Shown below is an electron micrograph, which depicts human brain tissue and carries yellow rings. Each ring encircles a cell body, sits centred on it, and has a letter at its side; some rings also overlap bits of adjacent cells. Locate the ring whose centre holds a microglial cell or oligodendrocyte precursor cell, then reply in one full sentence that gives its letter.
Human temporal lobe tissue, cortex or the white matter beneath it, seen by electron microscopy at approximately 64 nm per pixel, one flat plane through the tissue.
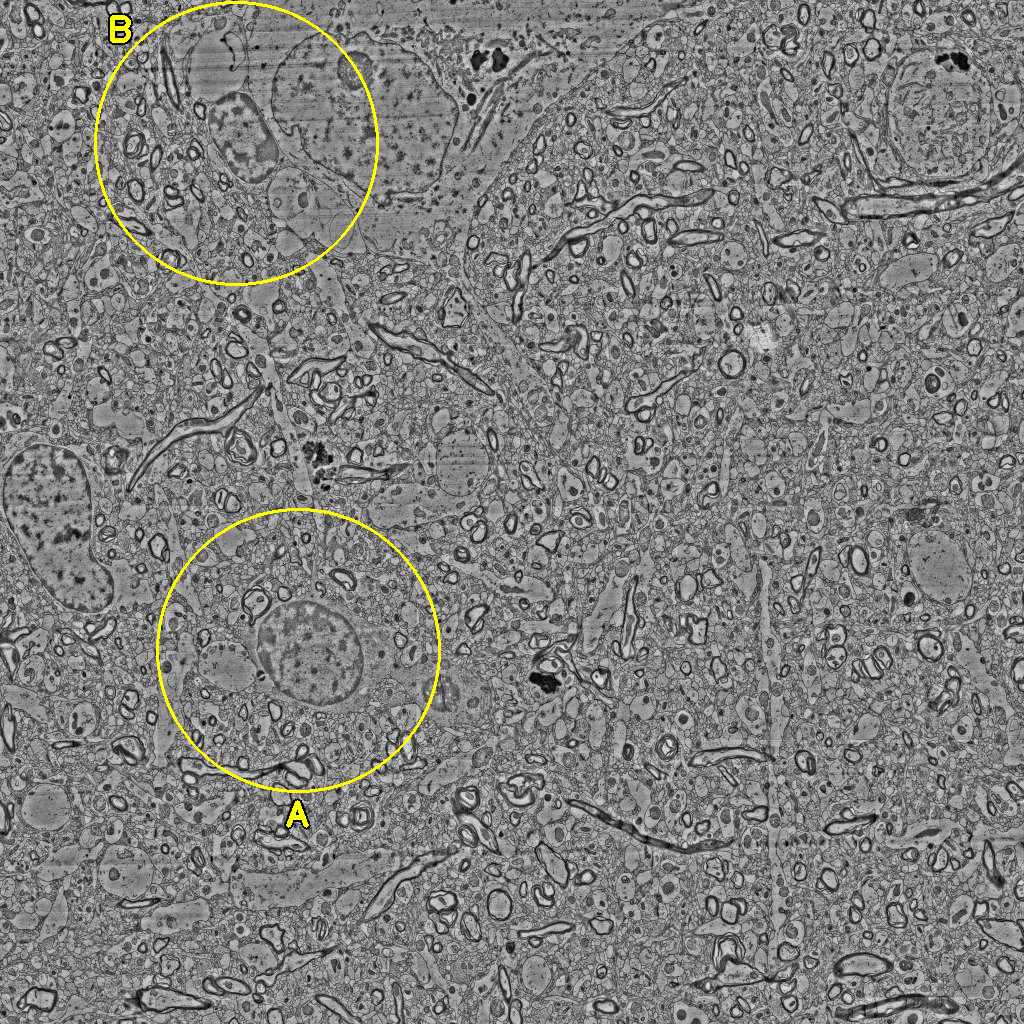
The ring centred on the cell asked for is the one marked B.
